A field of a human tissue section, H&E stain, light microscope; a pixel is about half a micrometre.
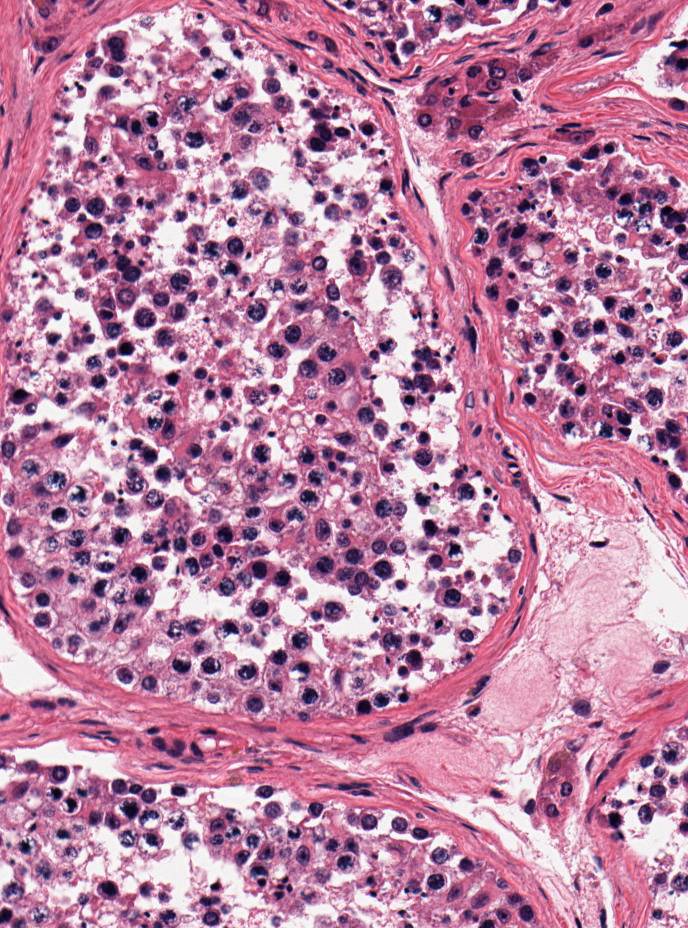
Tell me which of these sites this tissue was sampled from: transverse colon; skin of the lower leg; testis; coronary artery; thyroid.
testis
